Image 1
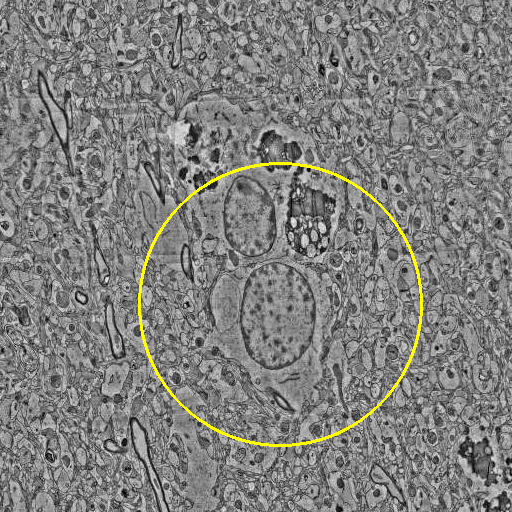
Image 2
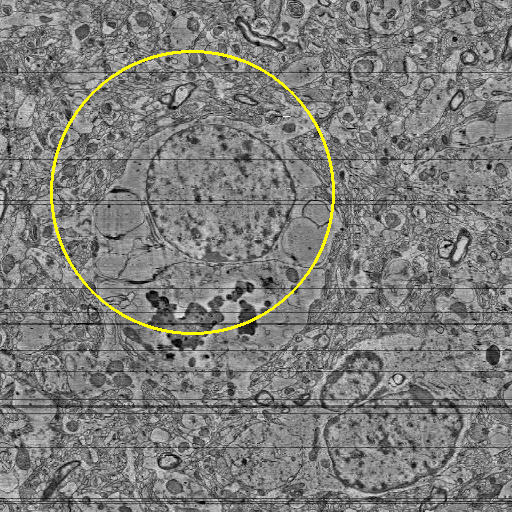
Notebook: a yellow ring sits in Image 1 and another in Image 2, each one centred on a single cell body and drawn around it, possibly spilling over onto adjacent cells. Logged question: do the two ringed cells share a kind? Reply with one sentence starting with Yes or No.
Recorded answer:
Yes, both centre cells inside the rings of Image 1 and Image 2 share one kind.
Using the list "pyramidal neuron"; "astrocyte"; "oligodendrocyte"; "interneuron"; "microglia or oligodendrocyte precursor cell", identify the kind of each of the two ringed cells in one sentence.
Each one of the two ringed cells is an astrocyte.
